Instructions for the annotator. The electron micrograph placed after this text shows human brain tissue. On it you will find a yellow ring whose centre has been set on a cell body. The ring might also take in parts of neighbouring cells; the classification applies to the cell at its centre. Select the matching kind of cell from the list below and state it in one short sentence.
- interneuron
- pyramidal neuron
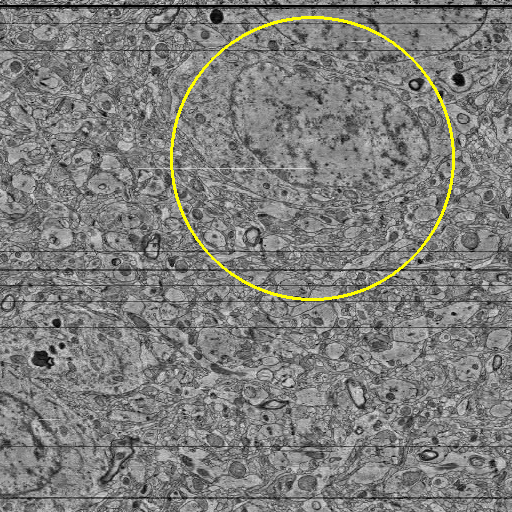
The ring is drawn on the cell body of an interneuron.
